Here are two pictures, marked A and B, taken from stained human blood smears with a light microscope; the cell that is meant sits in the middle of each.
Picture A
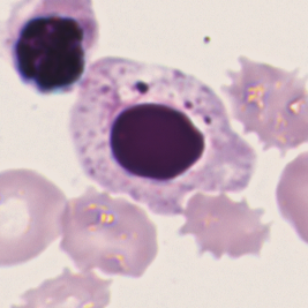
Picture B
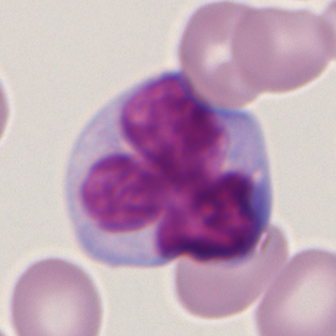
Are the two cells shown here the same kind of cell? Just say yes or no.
no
